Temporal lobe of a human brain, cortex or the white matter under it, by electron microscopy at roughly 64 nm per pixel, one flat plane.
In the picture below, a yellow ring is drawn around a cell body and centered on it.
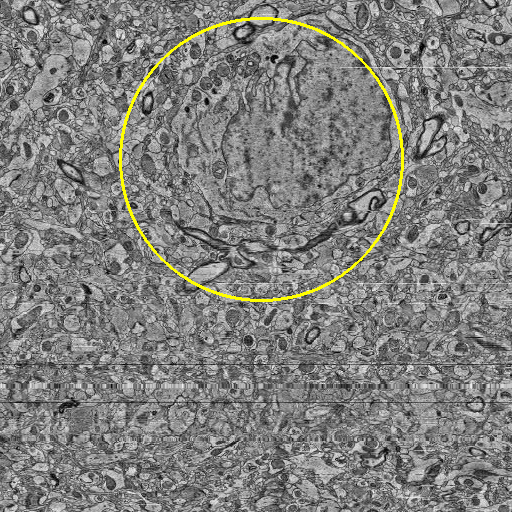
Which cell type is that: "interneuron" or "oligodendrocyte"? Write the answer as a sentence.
The cell centered in the ring is an interneuron.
